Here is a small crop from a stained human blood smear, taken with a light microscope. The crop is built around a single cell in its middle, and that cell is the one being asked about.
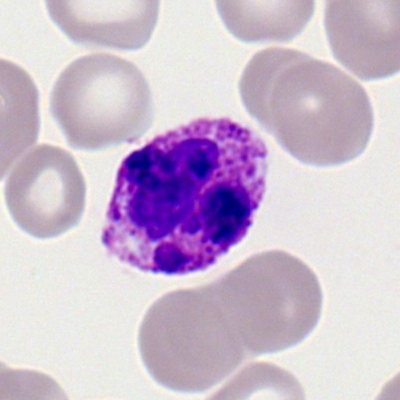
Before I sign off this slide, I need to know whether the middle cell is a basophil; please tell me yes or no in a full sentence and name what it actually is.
Yes, the central cell of this crop corresponds to a basophil.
